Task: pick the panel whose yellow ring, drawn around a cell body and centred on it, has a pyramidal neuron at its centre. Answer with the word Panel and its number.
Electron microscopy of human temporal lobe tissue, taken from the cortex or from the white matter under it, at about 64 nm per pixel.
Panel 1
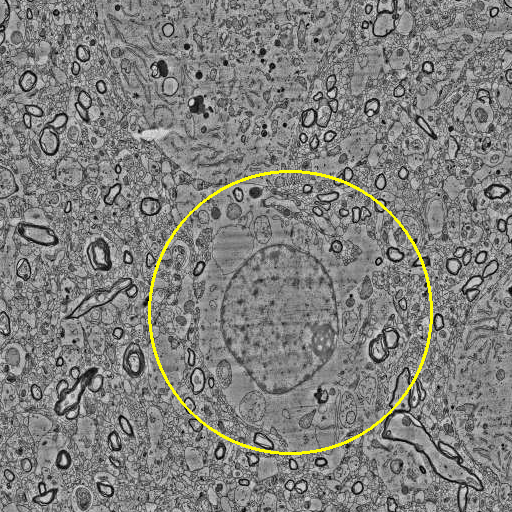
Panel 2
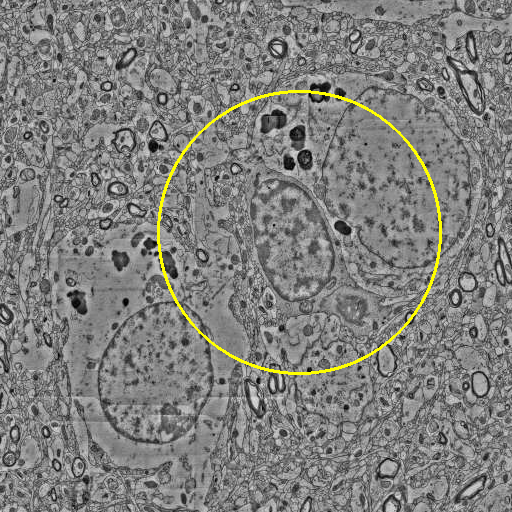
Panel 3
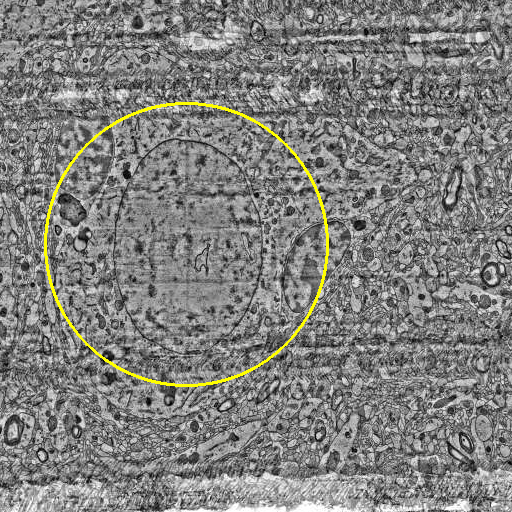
Panel 3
